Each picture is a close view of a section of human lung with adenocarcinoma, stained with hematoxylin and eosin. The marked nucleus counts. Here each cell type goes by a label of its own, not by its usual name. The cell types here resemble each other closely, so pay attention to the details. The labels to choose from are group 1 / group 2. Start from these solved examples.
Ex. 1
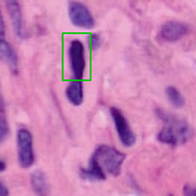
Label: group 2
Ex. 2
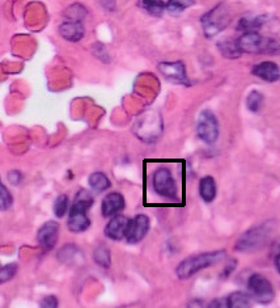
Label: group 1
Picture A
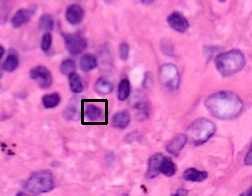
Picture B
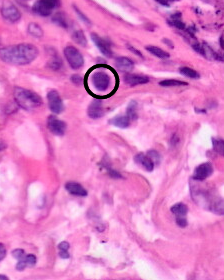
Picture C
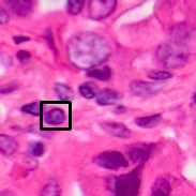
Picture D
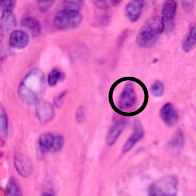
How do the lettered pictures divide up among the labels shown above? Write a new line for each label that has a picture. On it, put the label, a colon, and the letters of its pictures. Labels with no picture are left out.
group 1: D
group 2: A, B, C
